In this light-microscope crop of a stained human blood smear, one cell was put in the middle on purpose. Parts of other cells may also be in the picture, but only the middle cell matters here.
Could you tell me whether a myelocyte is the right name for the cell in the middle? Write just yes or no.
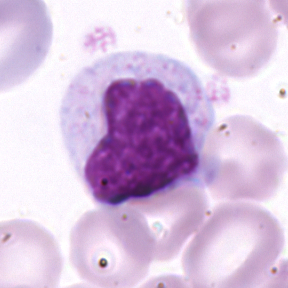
no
